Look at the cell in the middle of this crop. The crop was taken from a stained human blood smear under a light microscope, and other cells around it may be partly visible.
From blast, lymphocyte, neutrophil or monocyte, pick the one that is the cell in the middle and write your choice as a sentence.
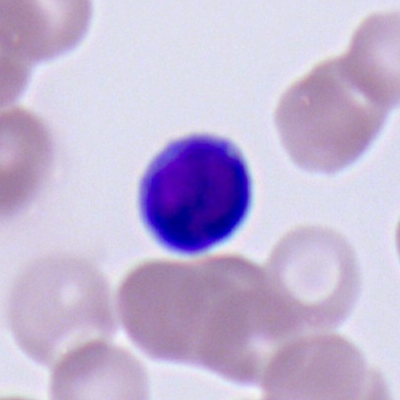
Present in the middle of the crop is a lymphocyte.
